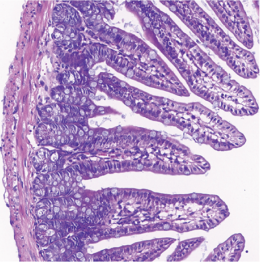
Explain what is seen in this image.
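The villi are covered by a single layer of tall columnar epithelial cells with purple, basally placed nuclei. Many pale, rounded goblet-like cells are scattered among them. Each villus has a core of loosely arranged cells. Along the left edge runs a band of pink-staining smooth muscle, and the villi are regular and closely aligned.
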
